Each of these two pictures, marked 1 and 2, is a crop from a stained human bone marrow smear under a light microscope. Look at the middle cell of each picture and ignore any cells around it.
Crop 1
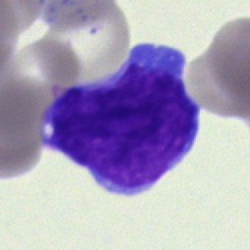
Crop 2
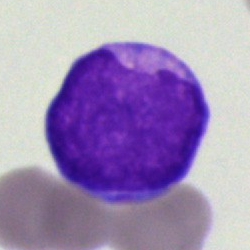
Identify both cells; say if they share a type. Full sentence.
Yes, blasts are depicted in both crops.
